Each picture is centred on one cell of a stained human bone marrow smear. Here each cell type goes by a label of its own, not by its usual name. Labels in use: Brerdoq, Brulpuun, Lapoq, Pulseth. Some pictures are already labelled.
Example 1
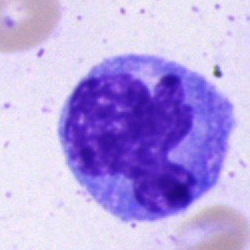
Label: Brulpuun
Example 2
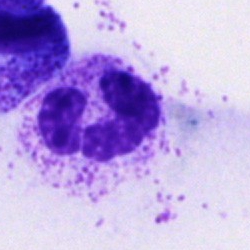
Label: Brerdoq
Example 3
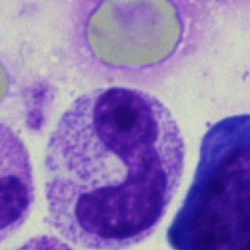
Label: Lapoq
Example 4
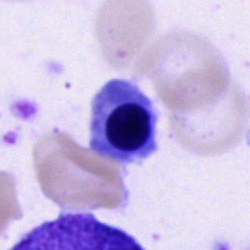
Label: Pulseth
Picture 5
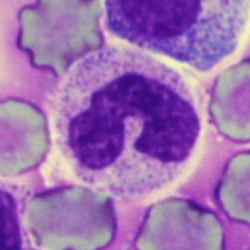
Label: Lapoq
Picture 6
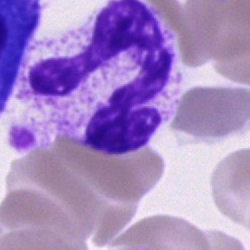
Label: Brerdoq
